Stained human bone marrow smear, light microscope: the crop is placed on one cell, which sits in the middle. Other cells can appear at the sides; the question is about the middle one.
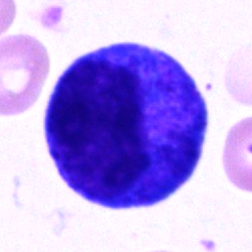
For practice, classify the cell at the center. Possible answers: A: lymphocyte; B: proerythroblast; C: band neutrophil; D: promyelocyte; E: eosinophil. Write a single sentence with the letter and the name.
Answer key: option D, the middle cell being a promyelocyte.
